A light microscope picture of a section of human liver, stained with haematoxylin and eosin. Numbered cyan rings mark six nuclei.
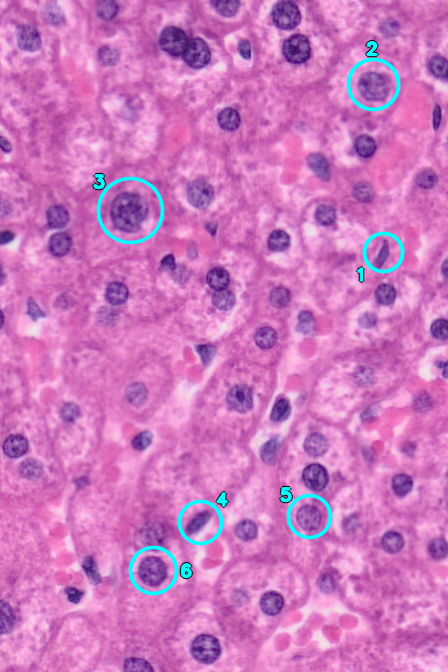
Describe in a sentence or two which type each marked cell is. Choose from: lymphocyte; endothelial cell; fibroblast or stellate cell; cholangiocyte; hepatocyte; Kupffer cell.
Cell 1 is a fibroblast or stellate cell, cell 2 is a hepatocyte, cell 3 is a hepatocyte, cell 4 is a fibroblast or stellate cell, cell 5 is a hepatocyte and cell 6 is a hepatocyte.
